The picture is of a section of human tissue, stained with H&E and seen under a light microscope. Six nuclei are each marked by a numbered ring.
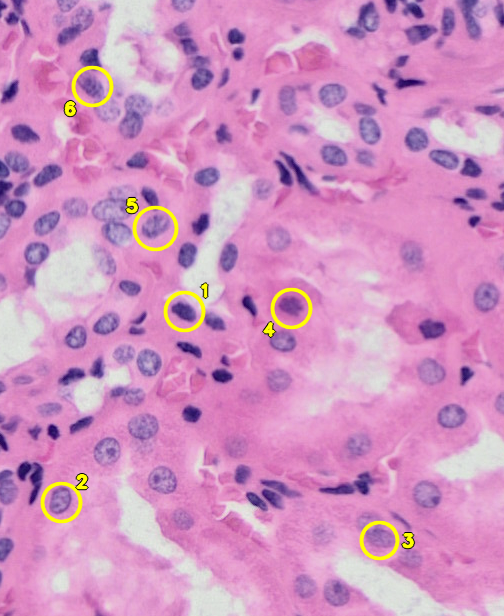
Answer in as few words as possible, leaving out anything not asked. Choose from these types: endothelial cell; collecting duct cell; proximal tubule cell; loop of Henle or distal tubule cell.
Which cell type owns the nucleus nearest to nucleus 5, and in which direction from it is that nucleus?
a collecting duct cell, above nucleus 5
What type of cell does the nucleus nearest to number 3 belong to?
proximal tubule cell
